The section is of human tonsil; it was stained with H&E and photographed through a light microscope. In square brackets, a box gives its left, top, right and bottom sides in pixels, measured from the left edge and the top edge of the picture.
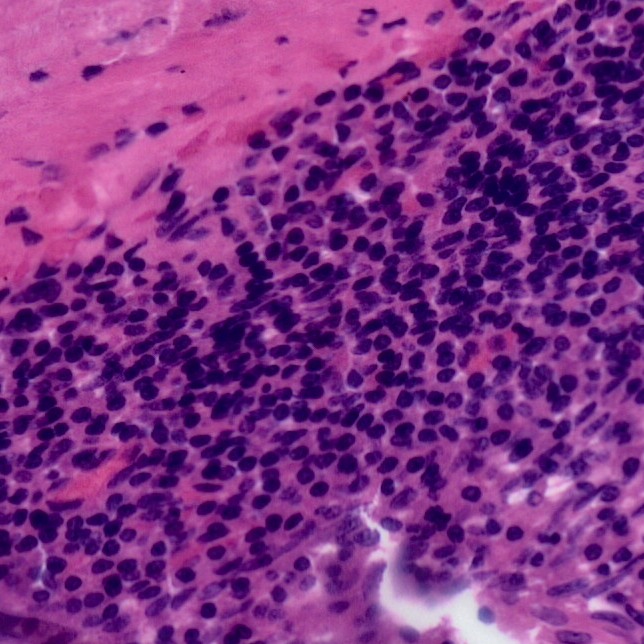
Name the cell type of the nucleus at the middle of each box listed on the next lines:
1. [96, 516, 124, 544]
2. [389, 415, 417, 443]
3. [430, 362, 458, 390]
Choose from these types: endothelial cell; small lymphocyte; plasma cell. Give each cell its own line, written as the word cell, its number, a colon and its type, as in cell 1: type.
cell 1: small lymphocyte
cell 2: plasma cell
cell 3: plasma cell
